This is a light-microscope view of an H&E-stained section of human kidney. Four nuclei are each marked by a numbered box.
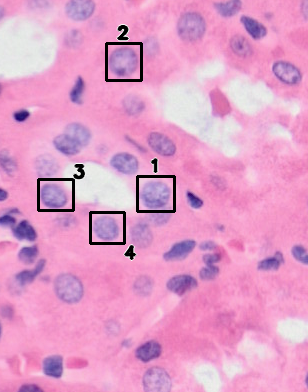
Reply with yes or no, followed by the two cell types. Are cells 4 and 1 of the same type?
Yes, cells 4 and 1 are both termed collecting duct cells.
